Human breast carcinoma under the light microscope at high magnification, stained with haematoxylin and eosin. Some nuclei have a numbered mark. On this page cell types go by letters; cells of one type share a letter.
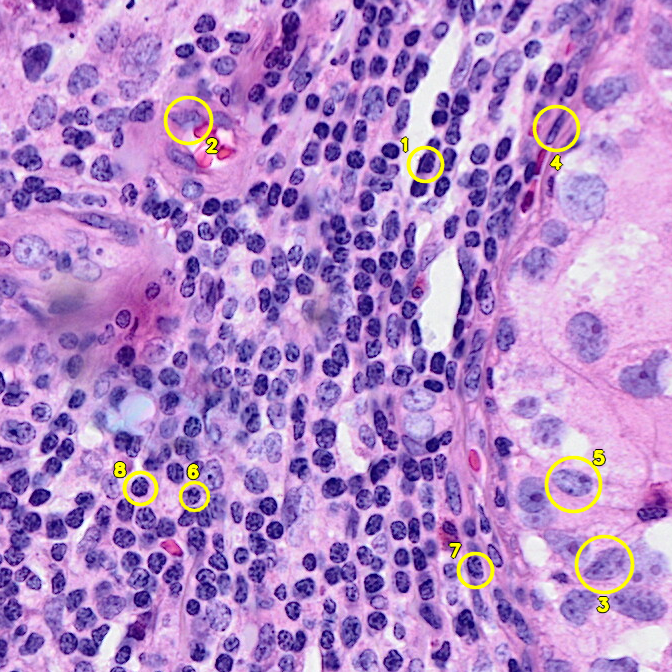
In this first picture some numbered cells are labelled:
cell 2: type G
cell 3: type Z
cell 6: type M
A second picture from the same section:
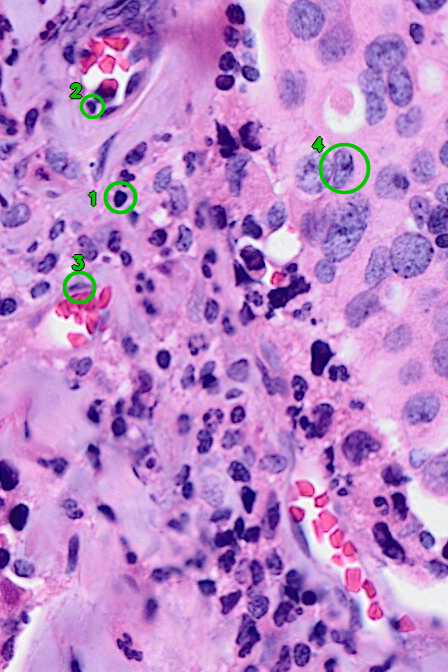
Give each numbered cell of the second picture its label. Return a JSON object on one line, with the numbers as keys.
{"1": "type M", "2": "type G", "3": "type G", "4": "type Z"}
